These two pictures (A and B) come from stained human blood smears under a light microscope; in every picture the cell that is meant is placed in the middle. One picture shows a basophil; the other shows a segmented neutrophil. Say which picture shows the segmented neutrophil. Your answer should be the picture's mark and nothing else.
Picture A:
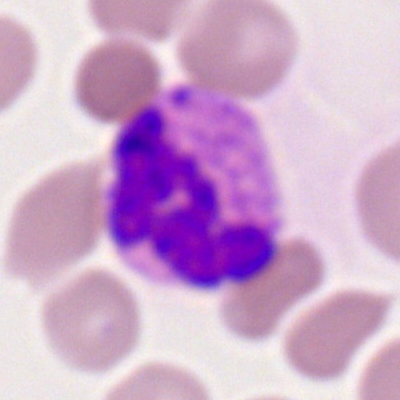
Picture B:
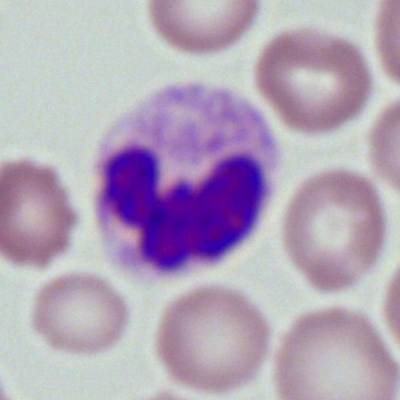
B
